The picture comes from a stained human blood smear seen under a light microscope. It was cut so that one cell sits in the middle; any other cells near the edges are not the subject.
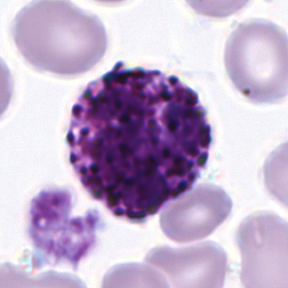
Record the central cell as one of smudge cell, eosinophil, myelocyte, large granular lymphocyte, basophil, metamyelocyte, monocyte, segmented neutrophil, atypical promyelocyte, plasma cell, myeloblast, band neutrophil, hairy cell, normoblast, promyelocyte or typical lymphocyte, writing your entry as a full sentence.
Framed in the middle of the crop is a basophil.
